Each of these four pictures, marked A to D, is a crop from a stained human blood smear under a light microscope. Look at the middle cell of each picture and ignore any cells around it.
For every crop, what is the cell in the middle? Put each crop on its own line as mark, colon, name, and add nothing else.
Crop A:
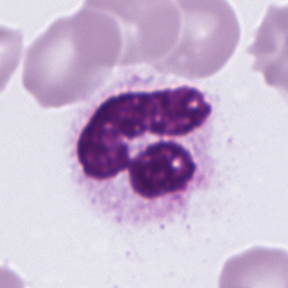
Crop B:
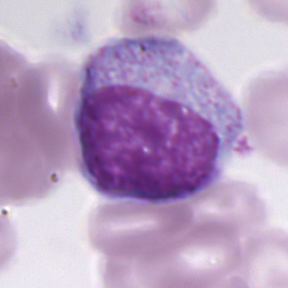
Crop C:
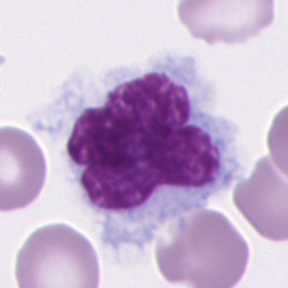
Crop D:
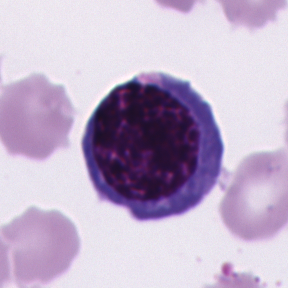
A: neutrophil
B: promyelocyte
C: hairy cell
D: erythroblast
